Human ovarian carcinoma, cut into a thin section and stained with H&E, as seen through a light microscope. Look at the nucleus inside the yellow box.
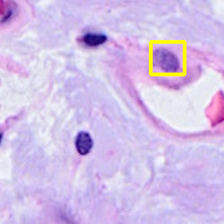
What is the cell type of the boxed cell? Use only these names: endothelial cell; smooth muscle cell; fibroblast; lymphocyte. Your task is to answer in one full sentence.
In the stained section, the boxed cell is an endothelial cell.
